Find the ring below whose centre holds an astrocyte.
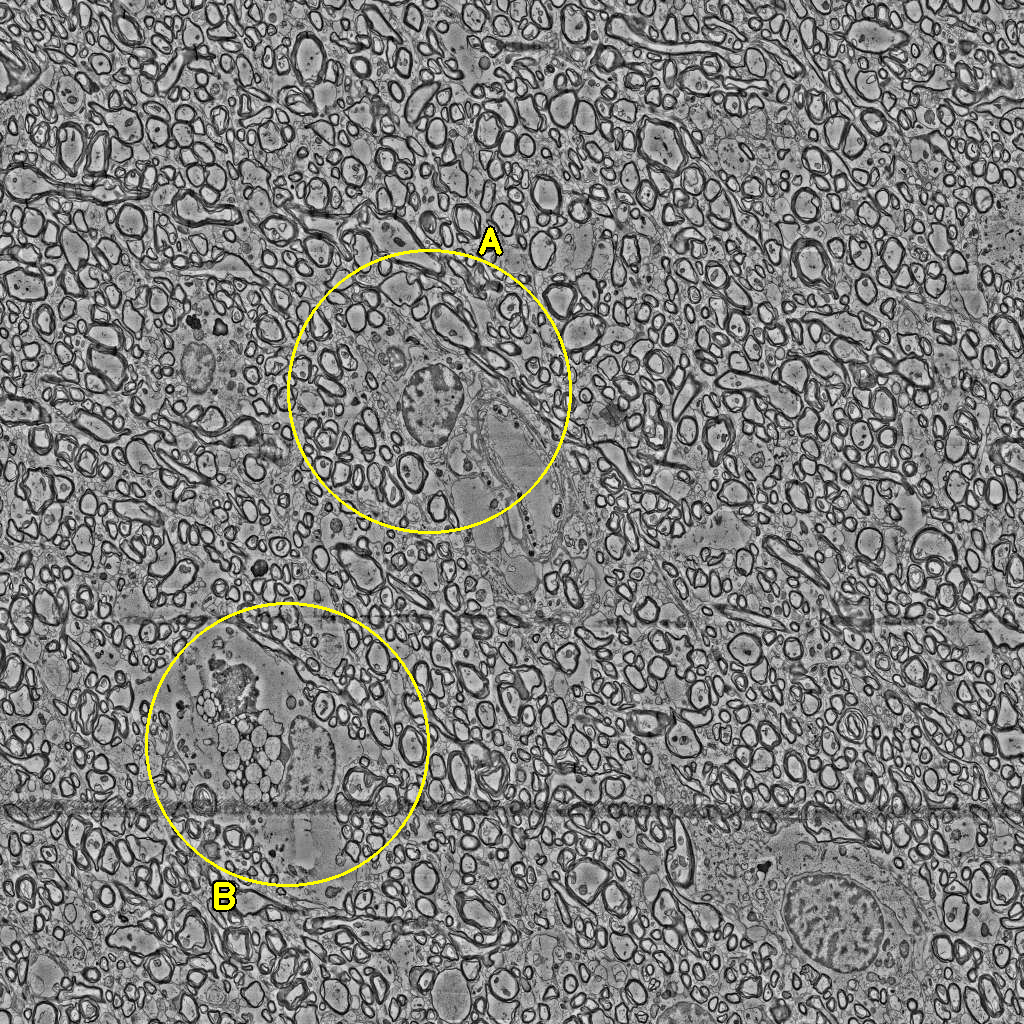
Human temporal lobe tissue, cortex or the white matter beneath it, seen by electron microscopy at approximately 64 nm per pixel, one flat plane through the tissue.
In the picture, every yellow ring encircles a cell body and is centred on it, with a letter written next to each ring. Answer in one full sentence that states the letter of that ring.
The ring centred on the cell asked for in the picture carries the letter B.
